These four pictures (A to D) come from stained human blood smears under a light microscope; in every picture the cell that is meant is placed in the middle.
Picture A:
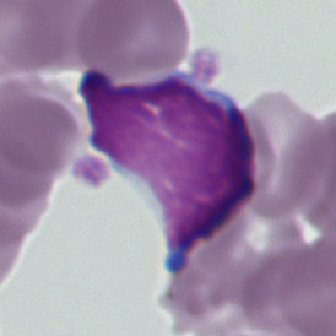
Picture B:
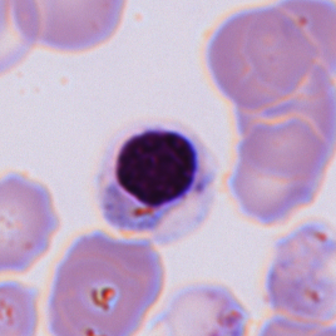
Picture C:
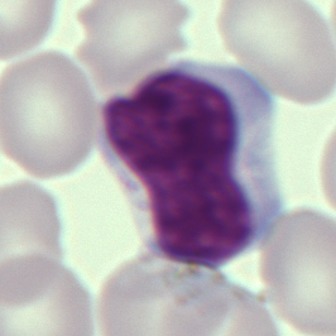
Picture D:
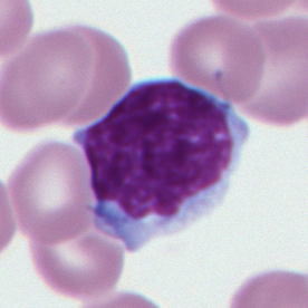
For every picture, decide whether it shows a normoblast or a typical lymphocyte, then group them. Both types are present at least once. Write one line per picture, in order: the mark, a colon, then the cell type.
A: typical lymphocyte
B: normoblast
C: typical lymphocyte
D: typical lymphocyte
